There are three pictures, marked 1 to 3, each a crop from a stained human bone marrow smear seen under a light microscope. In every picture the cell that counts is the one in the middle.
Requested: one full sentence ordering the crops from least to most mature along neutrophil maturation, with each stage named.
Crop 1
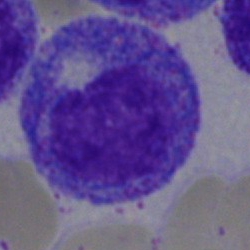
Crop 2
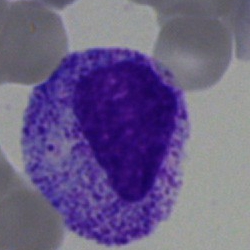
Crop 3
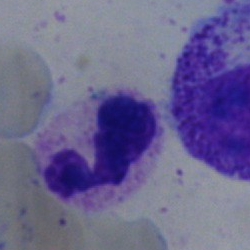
In ascending order of maturity, the cells are crop 1 (a promyelocyte), crop 2 (a myelocyte) and crop 3 (a segmented neutrophil).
